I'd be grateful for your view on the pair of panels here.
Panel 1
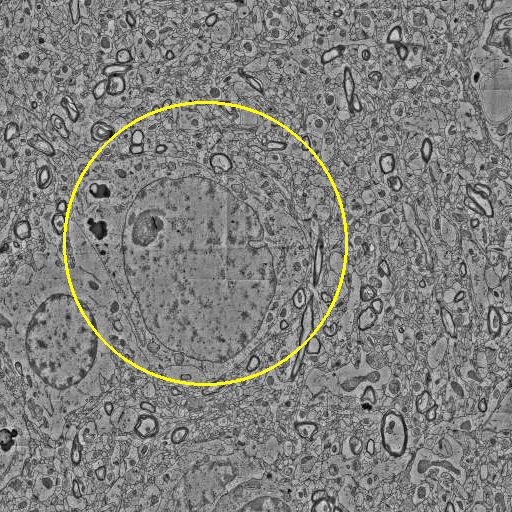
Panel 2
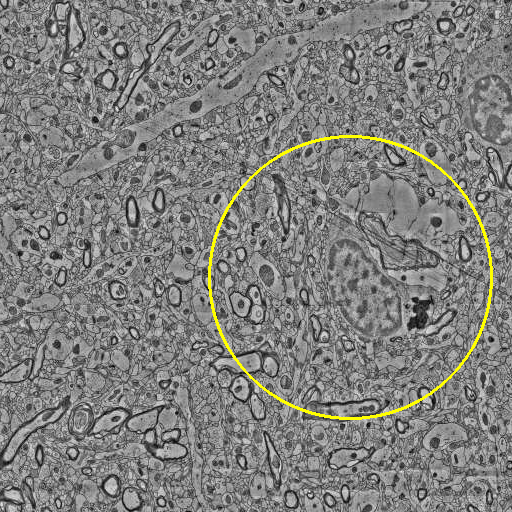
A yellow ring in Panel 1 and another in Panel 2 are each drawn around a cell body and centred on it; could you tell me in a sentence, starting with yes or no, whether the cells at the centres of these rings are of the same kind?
No, they are two kinds of cell.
